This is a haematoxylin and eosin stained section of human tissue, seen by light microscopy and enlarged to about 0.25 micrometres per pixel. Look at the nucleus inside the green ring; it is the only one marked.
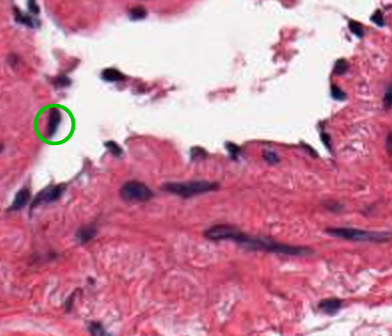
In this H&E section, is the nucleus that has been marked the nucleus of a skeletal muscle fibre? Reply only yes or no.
no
